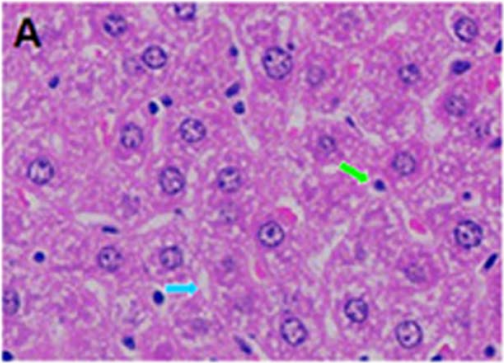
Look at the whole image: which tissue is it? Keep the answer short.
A: liver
